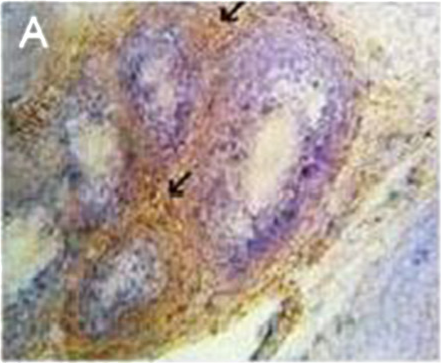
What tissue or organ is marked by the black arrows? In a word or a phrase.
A: Theca layer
